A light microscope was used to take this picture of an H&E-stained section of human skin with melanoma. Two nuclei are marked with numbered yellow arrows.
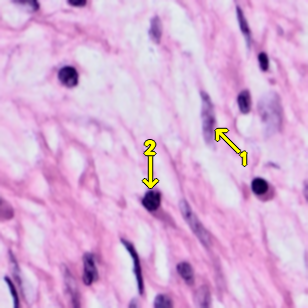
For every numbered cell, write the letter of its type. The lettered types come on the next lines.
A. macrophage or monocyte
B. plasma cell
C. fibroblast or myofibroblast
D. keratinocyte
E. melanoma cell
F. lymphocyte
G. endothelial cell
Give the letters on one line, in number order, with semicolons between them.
C; B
